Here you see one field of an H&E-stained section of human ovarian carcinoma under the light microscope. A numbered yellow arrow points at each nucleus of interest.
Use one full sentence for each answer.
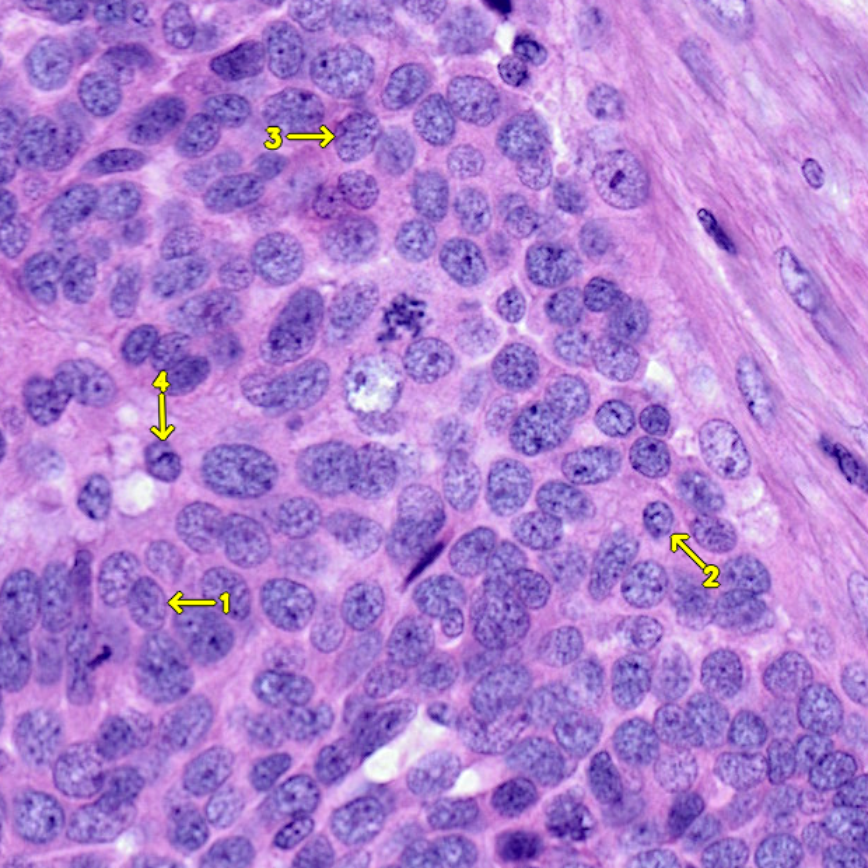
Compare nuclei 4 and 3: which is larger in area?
Nucleus 3 covers more area, about 1.5 times as much as nucleus 4.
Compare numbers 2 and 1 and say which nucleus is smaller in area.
Number 2 is smaller, since number 1 takes up about 1.5 times as much area.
